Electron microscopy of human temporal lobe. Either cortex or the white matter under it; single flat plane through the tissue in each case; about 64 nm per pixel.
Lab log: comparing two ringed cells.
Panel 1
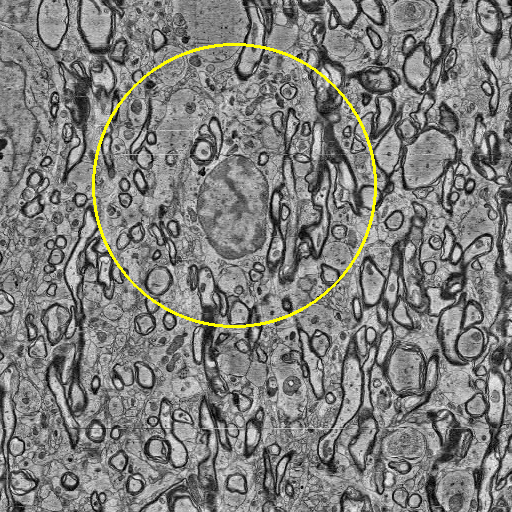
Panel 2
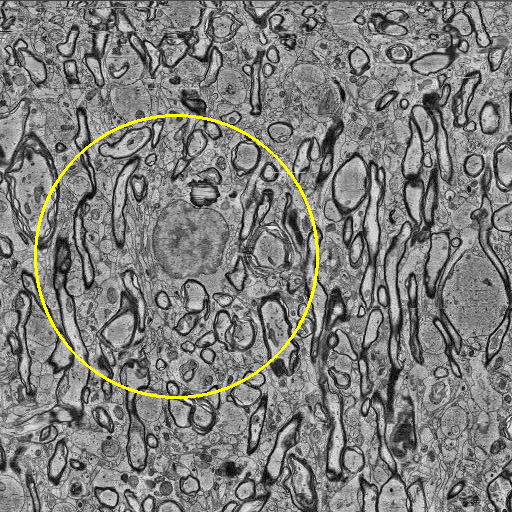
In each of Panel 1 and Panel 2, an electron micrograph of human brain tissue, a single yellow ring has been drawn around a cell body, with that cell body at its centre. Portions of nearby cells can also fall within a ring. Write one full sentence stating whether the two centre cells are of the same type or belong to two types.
The cells at the ring centres in Panel 1 and Panel 2 belong to two types.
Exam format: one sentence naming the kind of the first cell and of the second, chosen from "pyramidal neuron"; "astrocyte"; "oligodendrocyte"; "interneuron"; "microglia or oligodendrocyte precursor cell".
The first picture's cell is a microglial cell or oligodendrocyte precursor cell, and the second picture's cell is an oligodendrocyte.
